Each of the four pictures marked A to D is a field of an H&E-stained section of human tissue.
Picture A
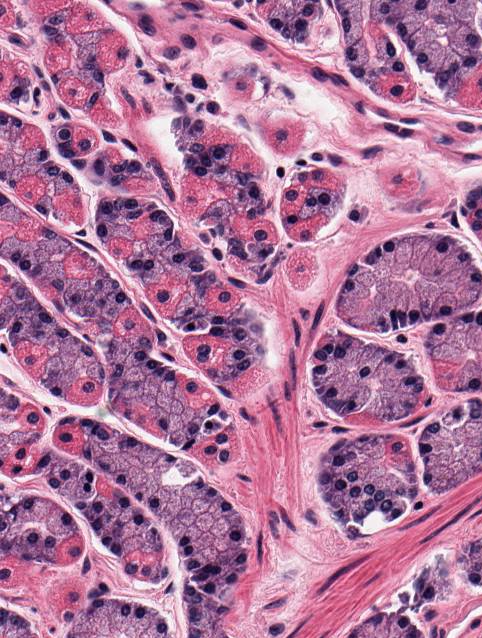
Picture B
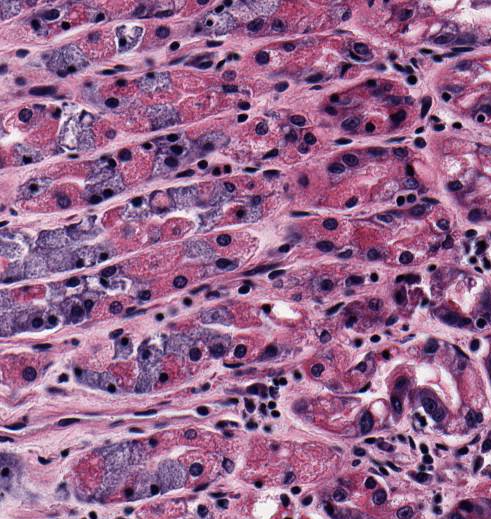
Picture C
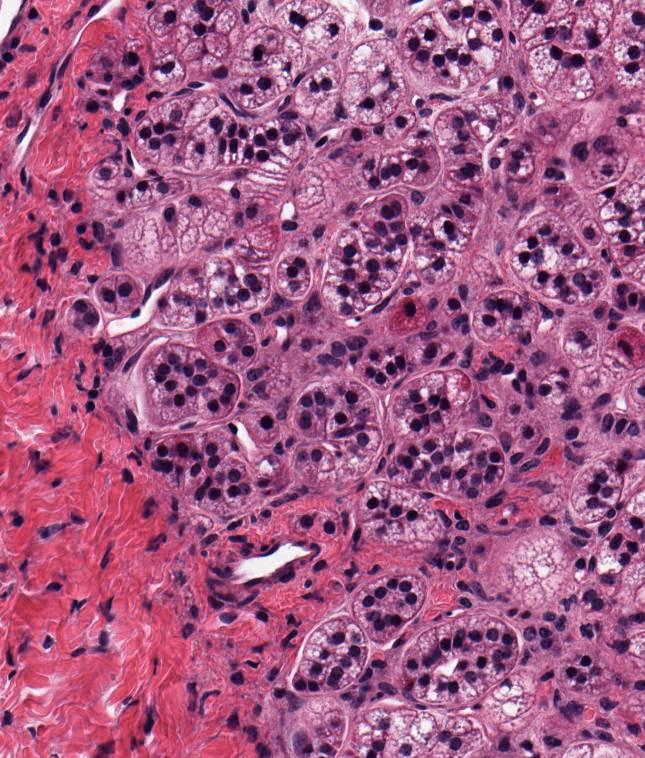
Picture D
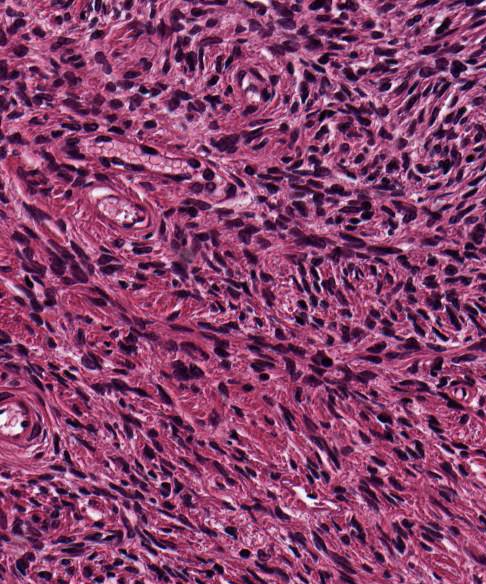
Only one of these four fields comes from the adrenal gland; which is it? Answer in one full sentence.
Picture C is the field that comes from the adrenal gland.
